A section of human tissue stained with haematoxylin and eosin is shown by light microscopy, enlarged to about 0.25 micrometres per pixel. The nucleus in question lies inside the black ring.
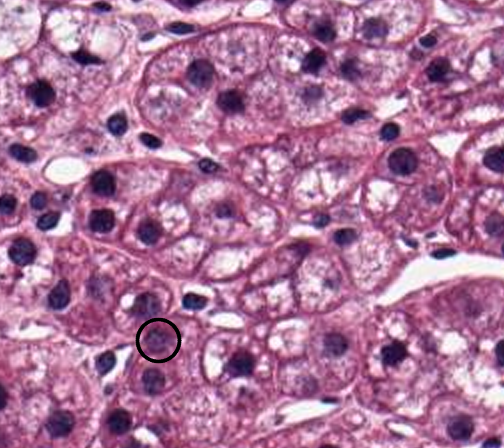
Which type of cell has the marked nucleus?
adrenal cortical cell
